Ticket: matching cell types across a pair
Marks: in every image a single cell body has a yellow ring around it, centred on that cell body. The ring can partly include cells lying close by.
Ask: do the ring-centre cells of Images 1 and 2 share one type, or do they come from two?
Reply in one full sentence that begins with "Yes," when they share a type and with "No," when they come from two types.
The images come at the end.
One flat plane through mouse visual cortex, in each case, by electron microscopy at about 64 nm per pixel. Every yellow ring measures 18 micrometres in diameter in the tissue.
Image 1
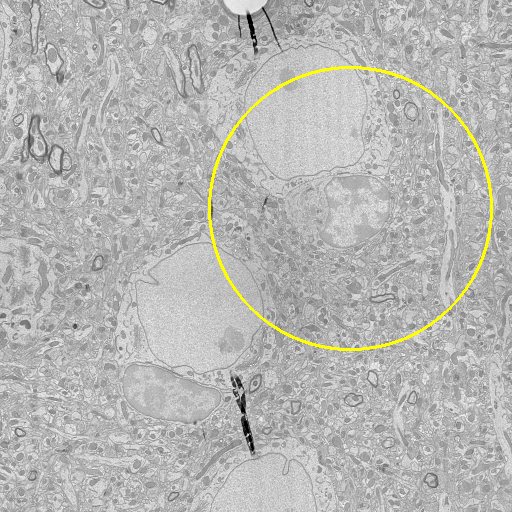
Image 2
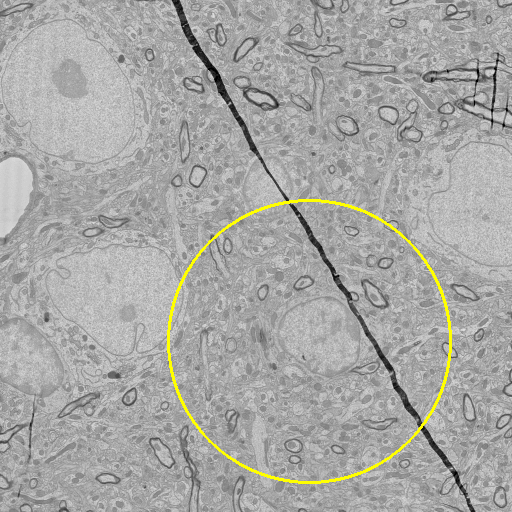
Yes, the cells in the centres of the rings in Image 1 and Image 2 share one type.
